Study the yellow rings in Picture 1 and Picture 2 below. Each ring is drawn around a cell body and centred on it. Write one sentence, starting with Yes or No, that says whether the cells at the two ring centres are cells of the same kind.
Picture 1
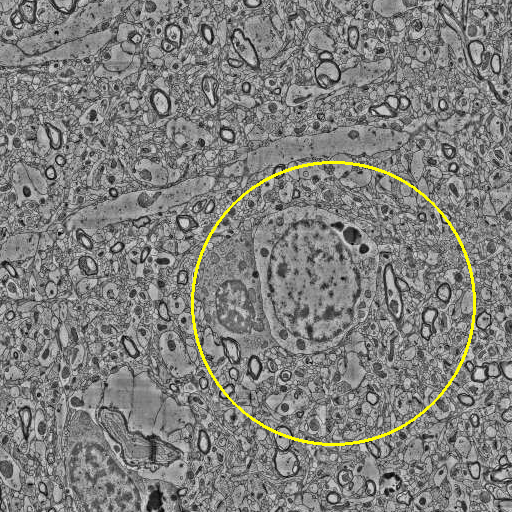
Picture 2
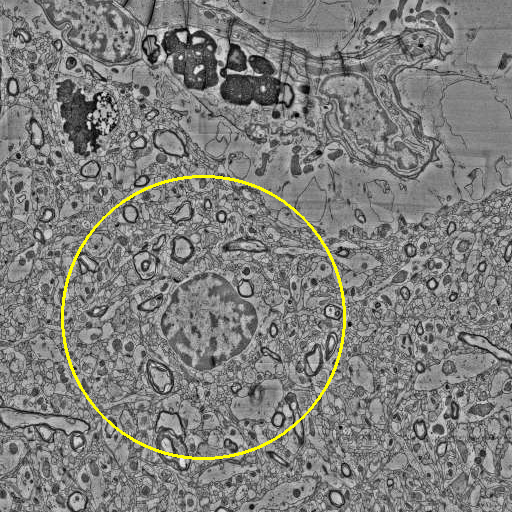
No, the cells at the ring centres are of two kinds.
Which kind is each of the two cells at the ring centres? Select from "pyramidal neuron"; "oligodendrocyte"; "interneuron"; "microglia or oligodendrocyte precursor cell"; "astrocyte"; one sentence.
The cell at the centre of the ring is an interneuron in the first picture and a microglial cell or oligodendrocyte precursor cell in the second.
